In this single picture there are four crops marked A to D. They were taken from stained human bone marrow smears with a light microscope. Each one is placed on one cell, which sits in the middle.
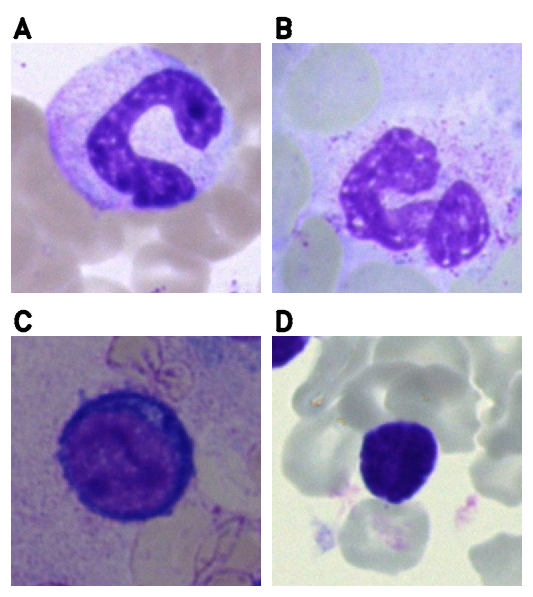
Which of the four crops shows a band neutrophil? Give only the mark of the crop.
A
